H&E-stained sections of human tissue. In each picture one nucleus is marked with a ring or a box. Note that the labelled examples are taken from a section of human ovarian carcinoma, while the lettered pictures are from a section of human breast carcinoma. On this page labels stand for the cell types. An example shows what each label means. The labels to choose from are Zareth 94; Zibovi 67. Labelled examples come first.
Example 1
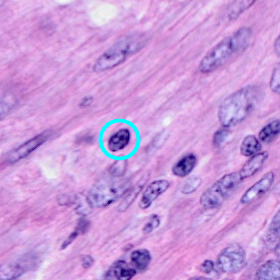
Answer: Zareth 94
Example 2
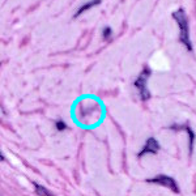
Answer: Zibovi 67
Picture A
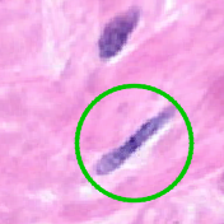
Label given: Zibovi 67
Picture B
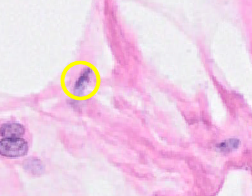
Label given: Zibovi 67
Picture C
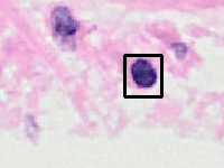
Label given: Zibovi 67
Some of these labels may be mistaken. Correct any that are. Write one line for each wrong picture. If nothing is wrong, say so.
Wrong: C (Zibovi 67); correct: Zareth 94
